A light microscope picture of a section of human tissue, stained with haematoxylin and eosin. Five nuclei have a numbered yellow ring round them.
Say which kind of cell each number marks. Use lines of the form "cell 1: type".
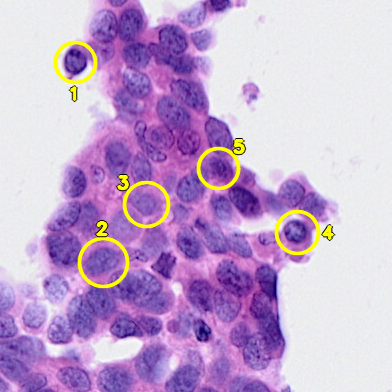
cell 1: macrophage or monocyte
cell 2: carcinoma cell
cell 3: carcinoma cell
cell 4: macrophage or monocyte
cell 5: carcinoma cell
